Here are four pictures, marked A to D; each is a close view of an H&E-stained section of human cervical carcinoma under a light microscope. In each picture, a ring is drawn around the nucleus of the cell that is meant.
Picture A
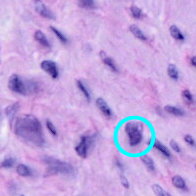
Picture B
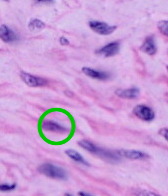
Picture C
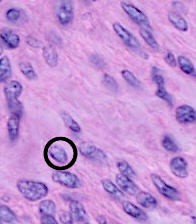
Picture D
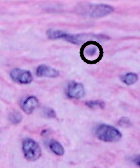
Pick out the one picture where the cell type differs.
A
